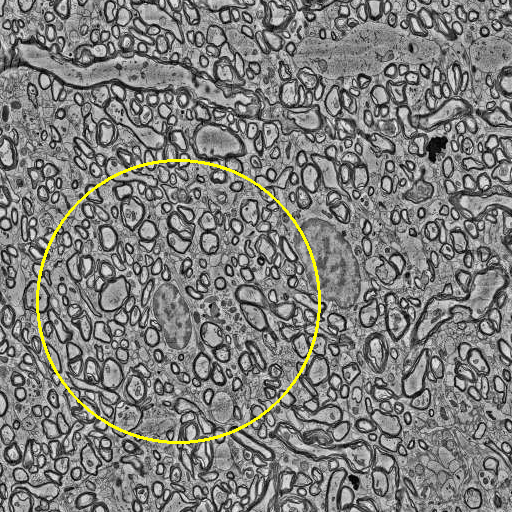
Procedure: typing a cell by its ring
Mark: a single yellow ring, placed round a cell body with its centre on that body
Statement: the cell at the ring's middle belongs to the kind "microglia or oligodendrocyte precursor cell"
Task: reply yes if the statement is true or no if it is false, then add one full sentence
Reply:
Yes, this is true: the cell at the ring's centre in the picture belongs to that kind.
